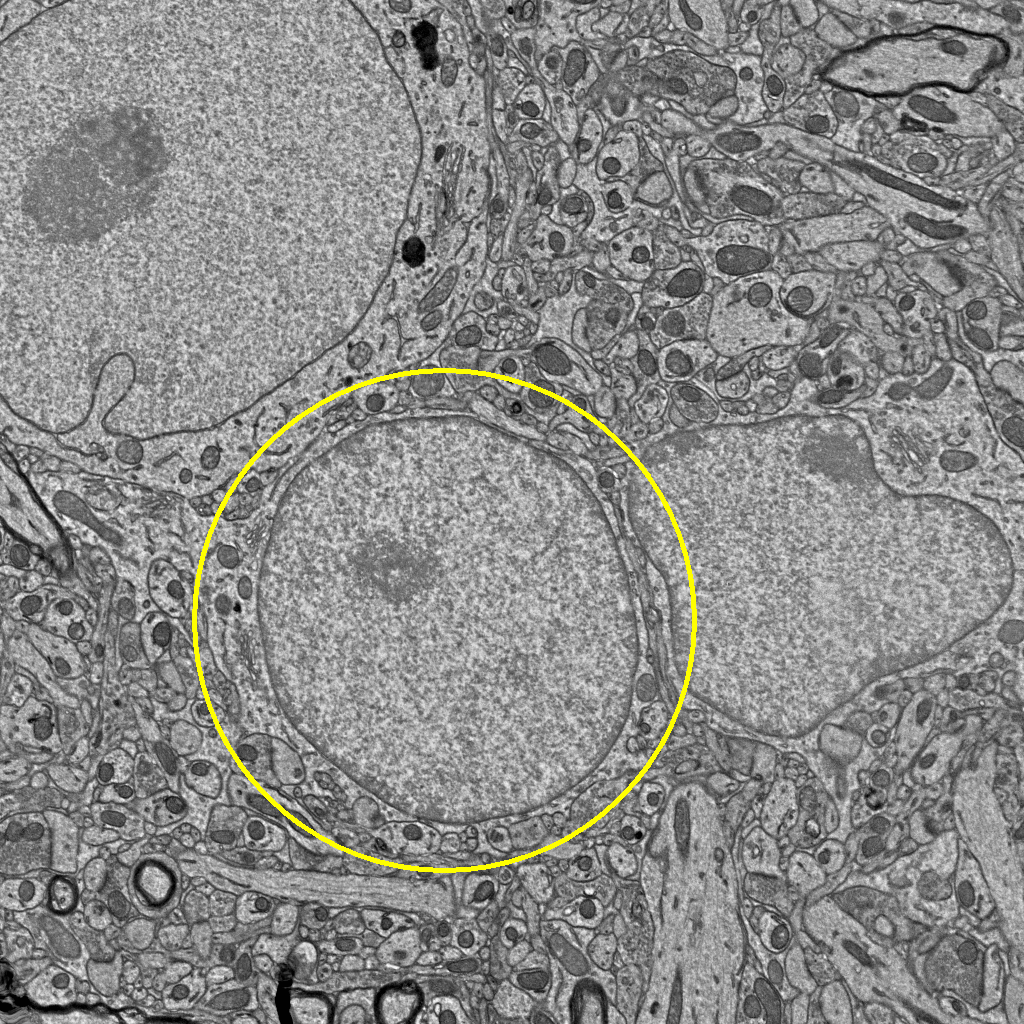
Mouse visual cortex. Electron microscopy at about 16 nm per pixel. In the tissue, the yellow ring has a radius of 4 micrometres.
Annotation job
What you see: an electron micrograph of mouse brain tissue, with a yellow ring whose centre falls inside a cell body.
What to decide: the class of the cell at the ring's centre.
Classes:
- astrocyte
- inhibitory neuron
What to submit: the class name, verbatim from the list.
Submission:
astrocyte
